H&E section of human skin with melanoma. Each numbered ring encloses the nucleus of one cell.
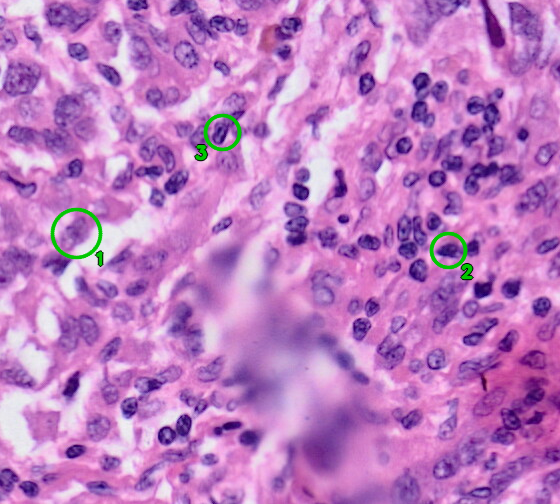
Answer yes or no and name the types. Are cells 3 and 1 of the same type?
No, cell 3 is a lymphocyte, and cell 1 is a melanoma cell.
